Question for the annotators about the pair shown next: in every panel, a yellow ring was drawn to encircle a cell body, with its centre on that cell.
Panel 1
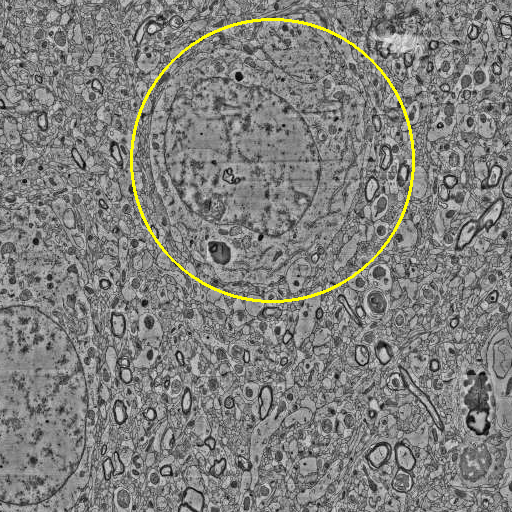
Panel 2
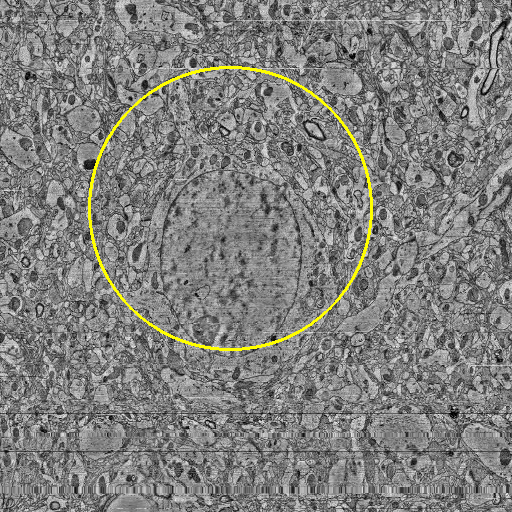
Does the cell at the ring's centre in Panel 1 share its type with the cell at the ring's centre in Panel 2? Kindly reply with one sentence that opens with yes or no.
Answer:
No, in Panels 1 and 2 the cells at the ring centres belong to separate types.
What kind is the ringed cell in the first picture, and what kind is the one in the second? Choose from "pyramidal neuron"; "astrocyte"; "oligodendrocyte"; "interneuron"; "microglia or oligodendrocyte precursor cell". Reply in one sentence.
The first cell is an interneuron; the second is a pyramidal neuron.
